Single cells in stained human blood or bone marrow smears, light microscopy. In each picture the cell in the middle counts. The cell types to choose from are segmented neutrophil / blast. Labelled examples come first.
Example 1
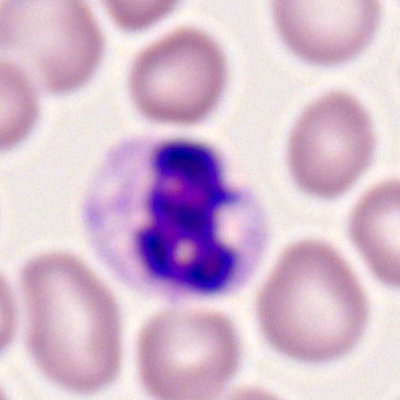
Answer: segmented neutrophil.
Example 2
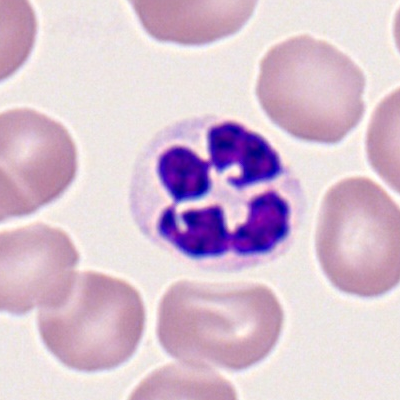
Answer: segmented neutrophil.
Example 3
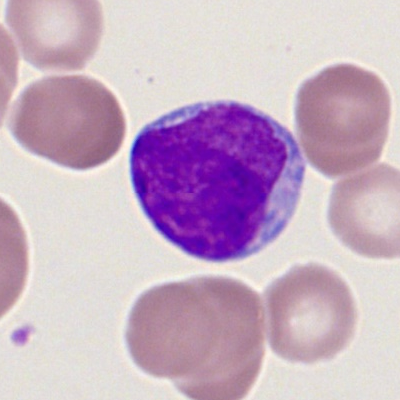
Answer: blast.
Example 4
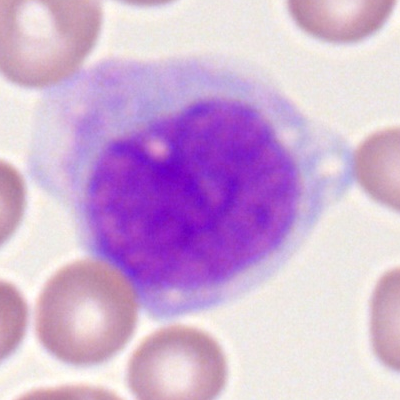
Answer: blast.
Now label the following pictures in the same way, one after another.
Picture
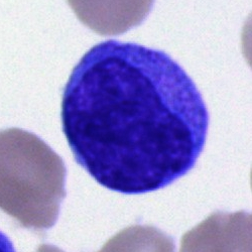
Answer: blast.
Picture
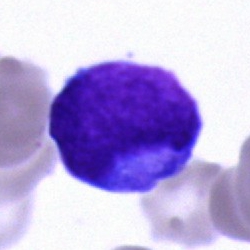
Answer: blast.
